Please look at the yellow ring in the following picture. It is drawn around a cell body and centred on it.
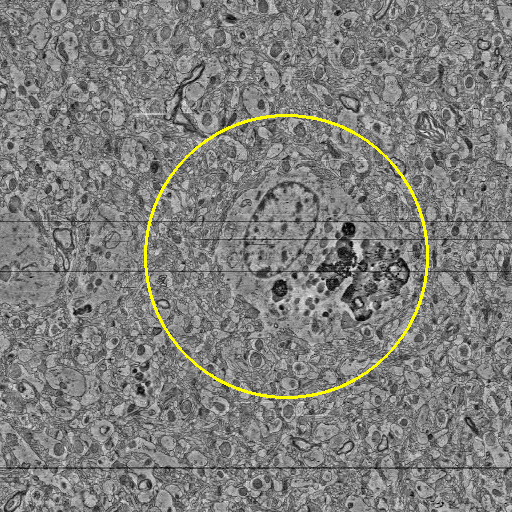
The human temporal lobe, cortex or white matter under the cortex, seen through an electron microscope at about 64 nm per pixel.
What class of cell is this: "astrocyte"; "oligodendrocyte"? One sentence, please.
The ring surrounds the cell body of an astrocyte.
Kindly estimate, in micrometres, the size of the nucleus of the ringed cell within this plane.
About 7 by 4 micrometers in this plane, so the nucleus is clearly longer than it is wide.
